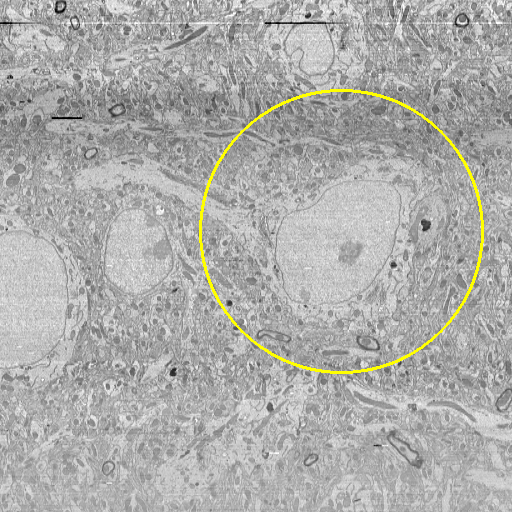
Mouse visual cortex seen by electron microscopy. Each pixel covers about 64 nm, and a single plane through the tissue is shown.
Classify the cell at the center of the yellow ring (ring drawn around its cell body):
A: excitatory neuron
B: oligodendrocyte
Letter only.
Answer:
A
